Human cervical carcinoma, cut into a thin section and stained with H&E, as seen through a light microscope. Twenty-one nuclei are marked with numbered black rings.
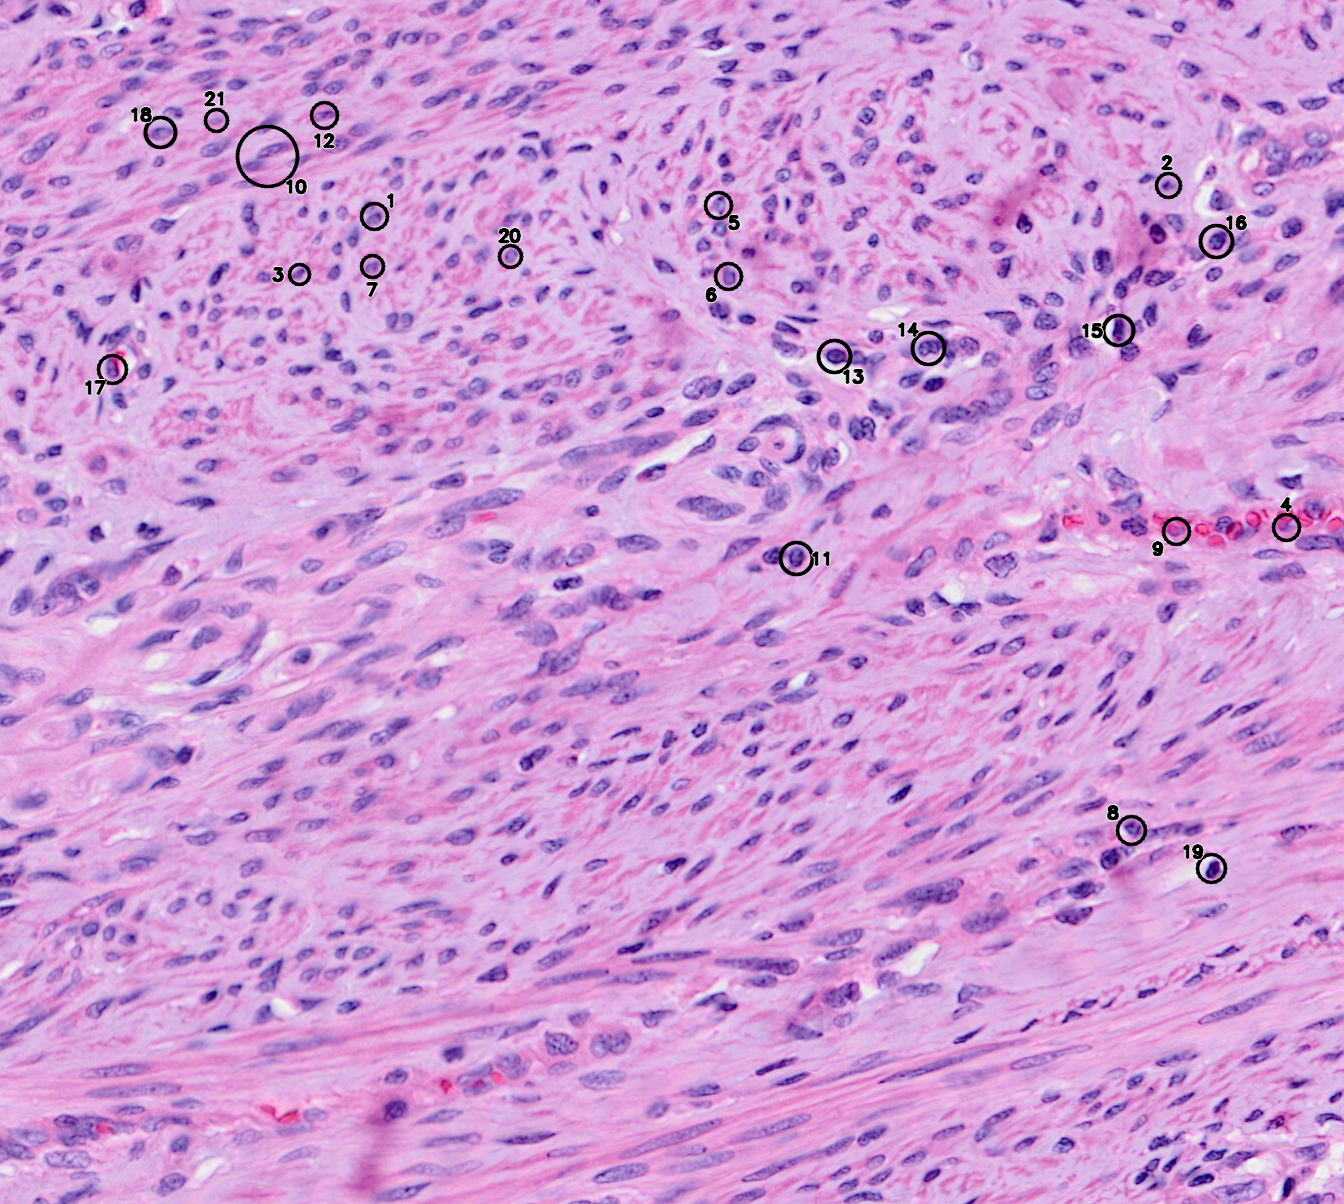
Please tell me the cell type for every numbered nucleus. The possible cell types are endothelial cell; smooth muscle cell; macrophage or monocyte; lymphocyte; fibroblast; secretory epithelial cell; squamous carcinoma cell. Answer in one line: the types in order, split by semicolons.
smooth muscle cell; fibroblast; smooth muscle cell; endothelial cell; smooth muscle cell; smooth muscle cell; smooth muscle cell; lymphocyte; endothelial cell; smooth muscle cell; lymphocyte; smooth muscle cell; lymphocyte; lymphocyte; lymphocyte; lymphocyte; endothelial cell; smooth muscle cell; lymphocyte; smooth muscle cell; smooth muscle cell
